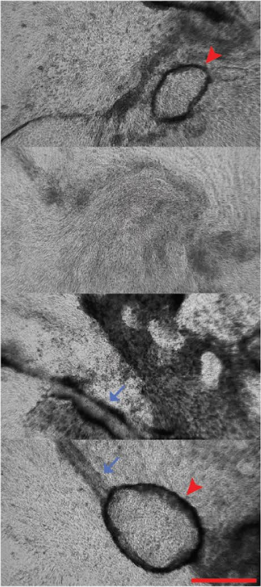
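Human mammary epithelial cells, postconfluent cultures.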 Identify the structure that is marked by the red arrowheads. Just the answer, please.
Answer: Dome-like structures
